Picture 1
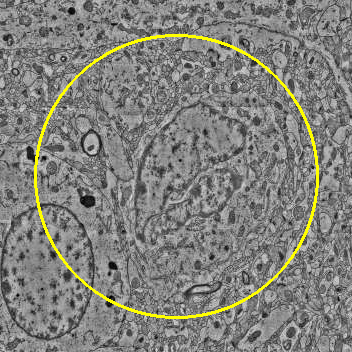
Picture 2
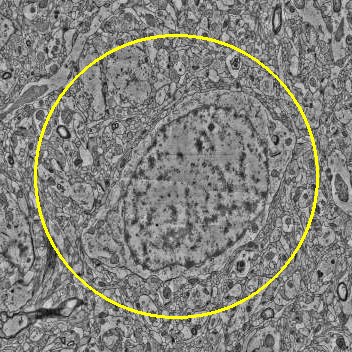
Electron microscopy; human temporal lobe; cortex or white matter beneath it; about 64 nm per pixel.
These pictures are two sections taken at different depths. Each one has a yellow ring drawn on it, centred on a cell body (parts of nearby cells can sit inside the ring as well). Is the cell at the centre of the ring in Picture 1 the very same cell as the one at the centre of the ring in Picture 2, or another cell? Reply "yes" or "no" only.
yes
